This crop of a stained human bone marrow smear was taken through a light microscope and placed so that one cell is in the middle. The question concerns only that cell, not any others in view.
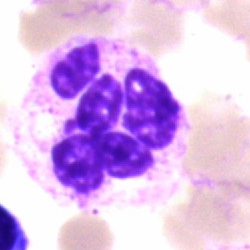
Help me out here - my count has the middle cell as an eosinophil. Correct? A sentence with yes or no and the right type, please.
No, this one is a segmented neutrophil; it is not an eosinophil.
